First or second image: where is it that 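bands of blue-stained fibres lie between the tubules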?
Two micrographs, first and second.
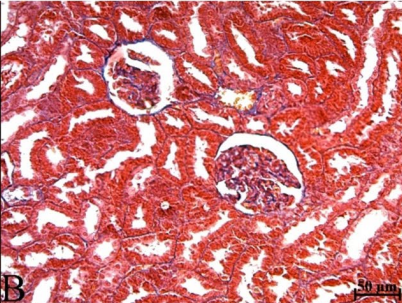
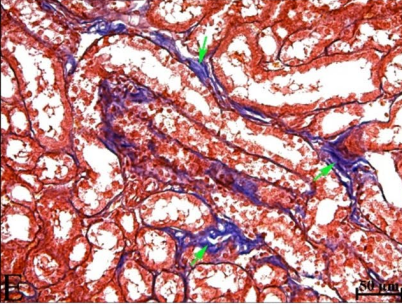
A: The second image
